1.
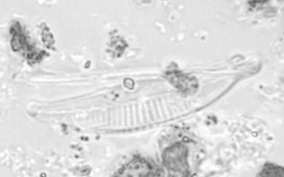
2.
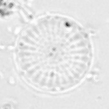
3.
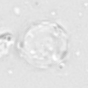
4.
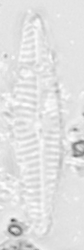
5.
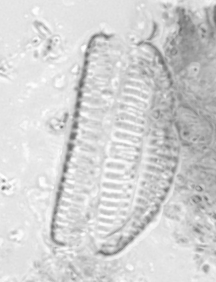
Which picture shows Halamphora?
Picture 1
